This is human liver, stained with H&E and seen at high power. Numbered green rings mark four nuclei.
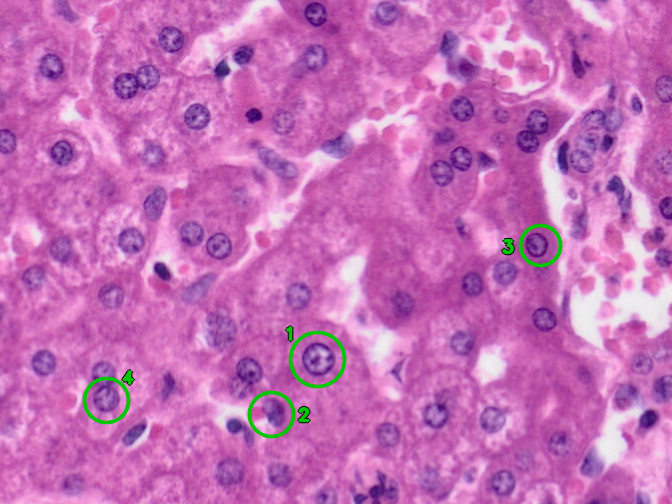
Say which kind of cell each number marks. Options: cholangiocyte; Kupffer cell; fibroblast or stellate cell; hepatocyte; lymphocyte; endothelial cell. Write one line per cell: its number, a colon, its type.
1: hepatocyte
2: endothelial cell
3: hepatocyte
4: hepatocyte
